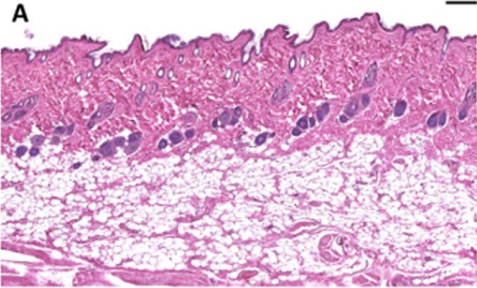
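This is a section through skin, from the surface epithelium down to the underlying muscle. At the top a thin, darker epidermis follows an undulating line over a thick, pink dermis of dense fibrous tissue. Within the dermis lie many hair follicles and glands, seen as purple oval and elongated profiles, most numerous in its lower part. Beneath the dermis is a broad pale layer of subcutaneous fat made of many empty-looking fat cells with thin walls.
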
